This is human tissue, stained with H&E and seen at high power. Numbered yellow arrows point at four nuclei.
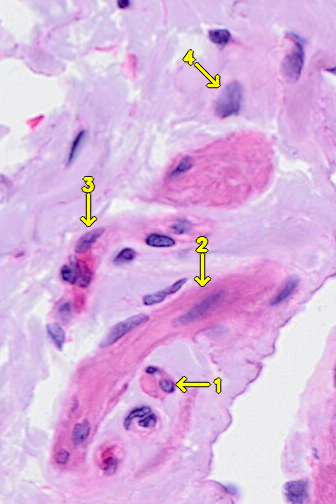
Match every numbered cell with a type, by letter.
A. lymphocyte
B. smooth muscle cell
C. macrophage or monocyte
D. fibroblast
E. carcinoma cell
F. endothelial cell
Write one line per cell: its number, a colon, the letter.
1: B
2: B
3: F
4: D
